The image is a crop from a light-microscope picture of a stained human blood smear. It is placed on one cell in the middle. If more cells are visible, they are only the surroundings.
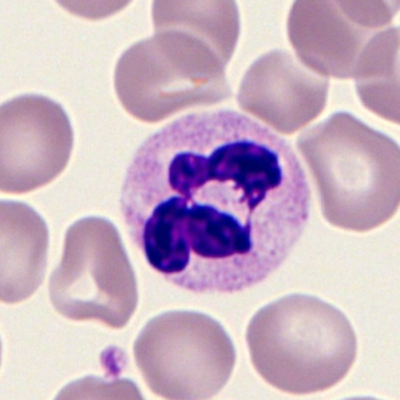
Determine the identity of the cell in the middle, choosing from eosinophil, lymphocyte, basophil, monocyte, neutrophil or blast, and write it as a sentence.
The middle of this crop is occupied by a neutrophil.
